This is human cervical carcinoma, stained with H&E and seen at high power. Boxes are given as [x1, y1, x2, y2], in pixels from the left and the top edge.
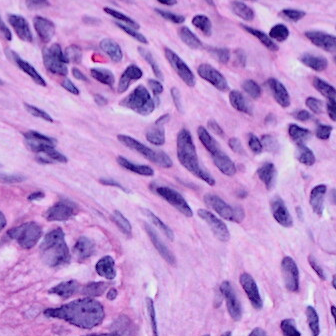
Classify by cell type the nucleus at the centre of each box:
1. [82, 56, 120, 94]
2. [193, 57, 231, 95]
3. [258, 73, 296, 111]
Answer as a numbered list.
1. endothelial cell
2. fibroblast
3. fibroblast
